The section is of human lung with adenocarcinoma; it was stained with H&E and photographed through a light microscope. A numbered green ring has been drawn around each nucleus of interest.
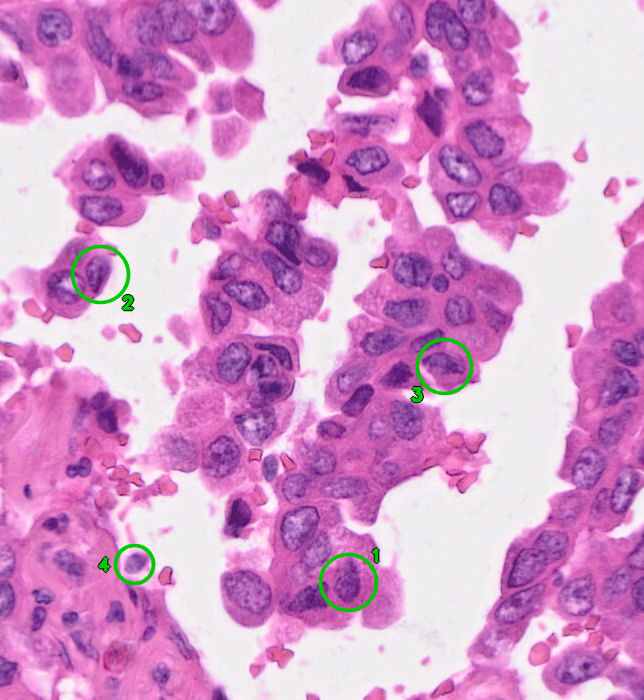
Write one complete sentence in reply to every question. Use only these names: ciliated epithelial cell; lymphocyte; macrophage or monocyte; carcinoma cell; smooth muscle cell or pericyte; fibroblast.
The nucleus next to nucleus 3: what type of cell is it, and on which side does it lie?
The nearest one is a carcinoma cell, found above and to the left of nucleus 3.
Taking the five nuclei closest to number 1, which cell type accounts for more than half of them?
Carcinoma cells make up most of the five nuclei closest to number 1.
